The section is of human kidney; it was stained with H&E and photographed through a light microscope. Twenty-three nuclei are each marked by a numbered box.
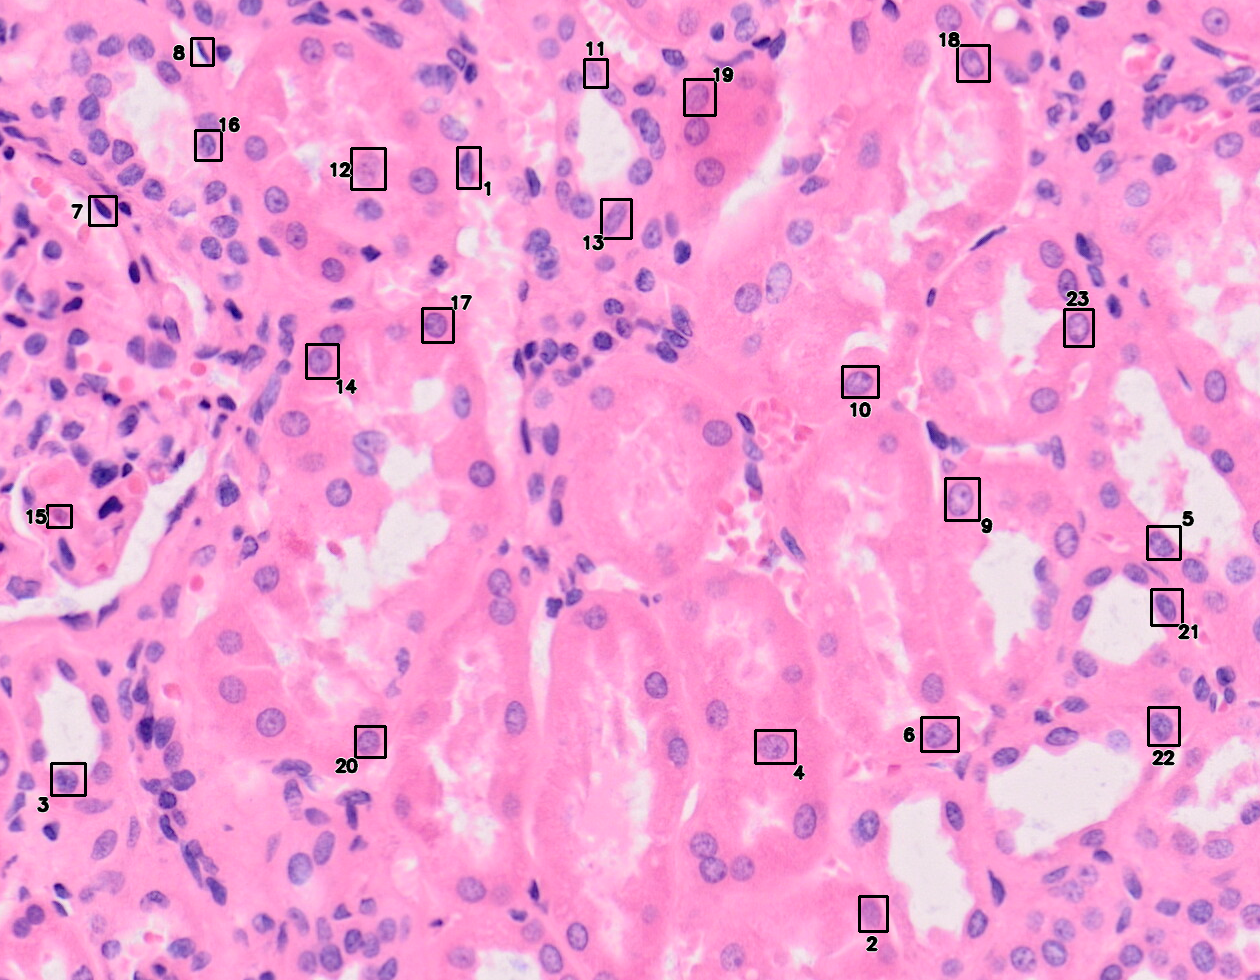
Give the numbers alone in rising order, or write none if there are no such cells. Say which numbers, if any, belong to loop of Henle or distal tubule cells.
3, 5, 16, 21, 22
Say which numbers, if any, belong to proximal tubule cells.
2, 4, 6, 9, 10, 12, 14, 17, 18, 19, 20, 23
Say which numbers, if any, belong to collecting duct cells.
11, 13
